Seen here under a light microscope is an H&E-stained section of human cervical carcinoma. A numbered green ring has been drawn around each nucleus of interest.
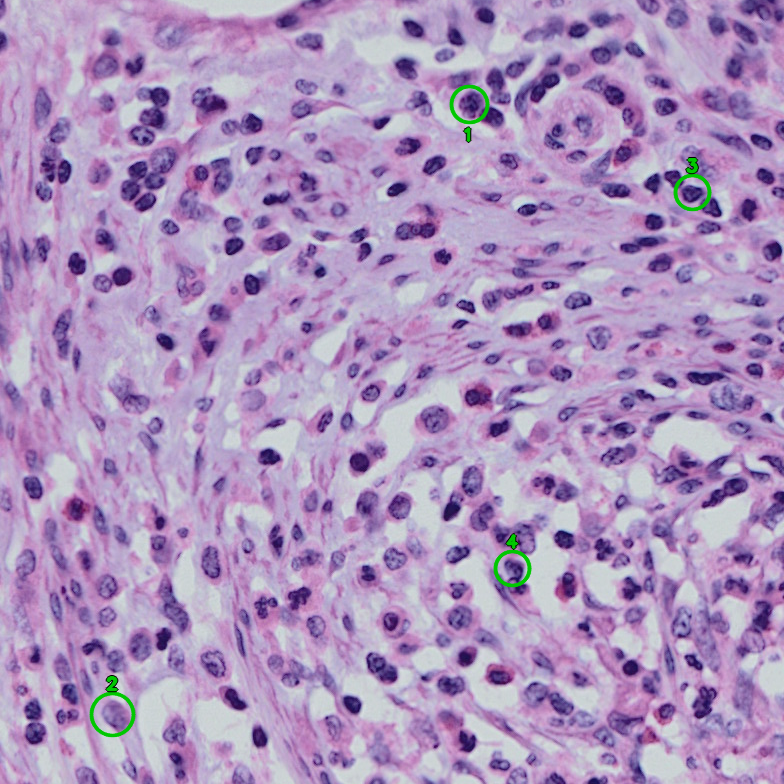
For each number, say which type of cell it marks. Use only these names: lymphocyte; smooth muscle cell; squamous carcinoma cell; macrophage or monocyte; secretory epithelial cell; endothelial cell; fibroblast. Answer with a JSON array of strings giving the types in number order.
["lymphocyte", "macrophage or monocyte", "lymphocyte", "lymphocyte"]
